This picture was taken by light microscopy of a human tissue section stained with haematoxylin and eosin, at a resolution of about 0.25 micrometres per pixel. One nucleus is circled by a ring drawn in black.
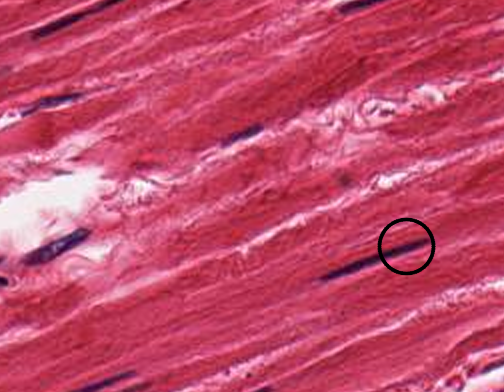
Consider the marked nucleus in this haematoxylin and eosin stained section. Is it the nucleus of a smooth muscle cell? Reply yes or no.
yes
